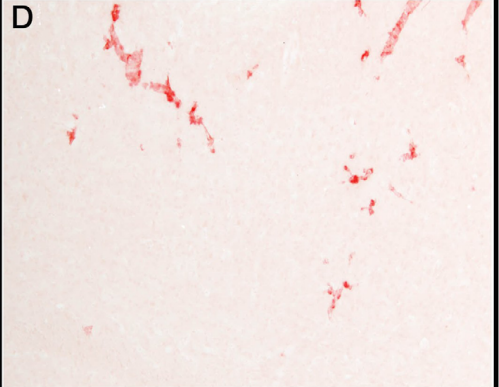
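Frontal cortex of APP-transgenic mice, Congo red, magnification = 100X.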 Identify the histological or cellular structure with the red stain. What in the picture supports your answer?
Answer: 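The red stain lies along elongated, branching tubular profiles. The surrounding tissue is pale and largely unstained.
Hence: blood vessels.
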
